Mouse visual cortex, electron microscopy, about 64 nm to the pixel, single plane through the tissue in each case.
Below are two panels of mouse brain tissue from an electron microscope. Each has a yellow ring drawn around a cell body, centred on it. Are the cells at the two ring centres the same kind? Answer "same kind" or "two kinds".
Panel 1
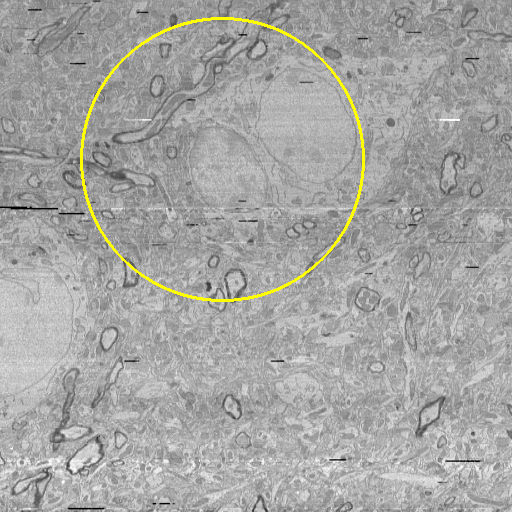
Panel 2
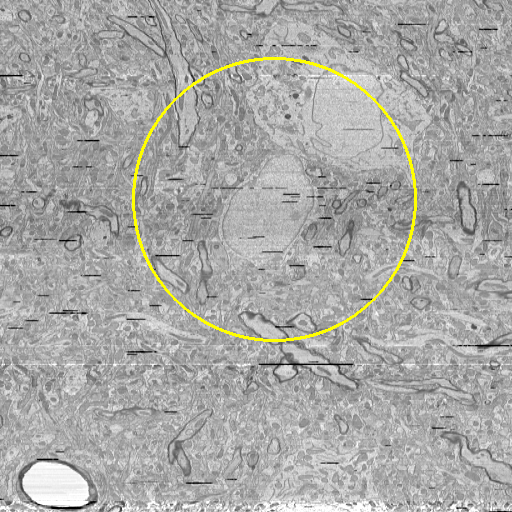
two kinds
